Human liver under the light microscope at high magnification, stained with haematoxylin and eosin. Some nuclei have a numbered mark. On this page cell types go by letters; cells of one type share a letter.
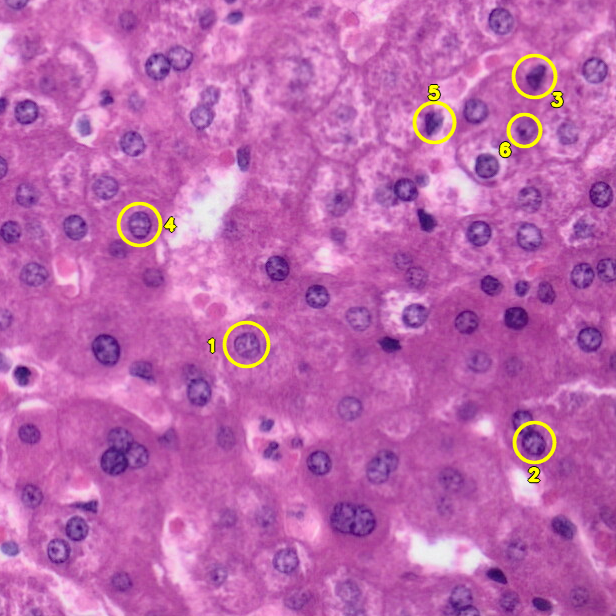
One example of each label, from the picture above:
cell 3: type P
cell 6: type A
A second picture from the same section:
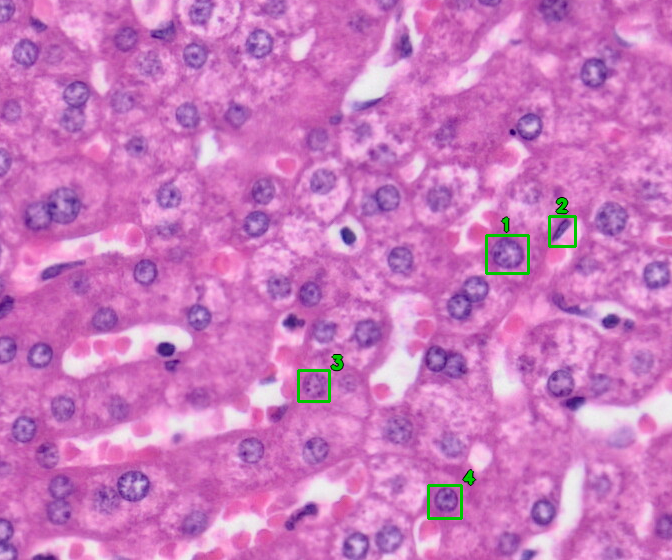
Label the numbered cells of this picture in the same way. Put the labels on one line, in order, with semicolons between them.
type A; type P; type A; type A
